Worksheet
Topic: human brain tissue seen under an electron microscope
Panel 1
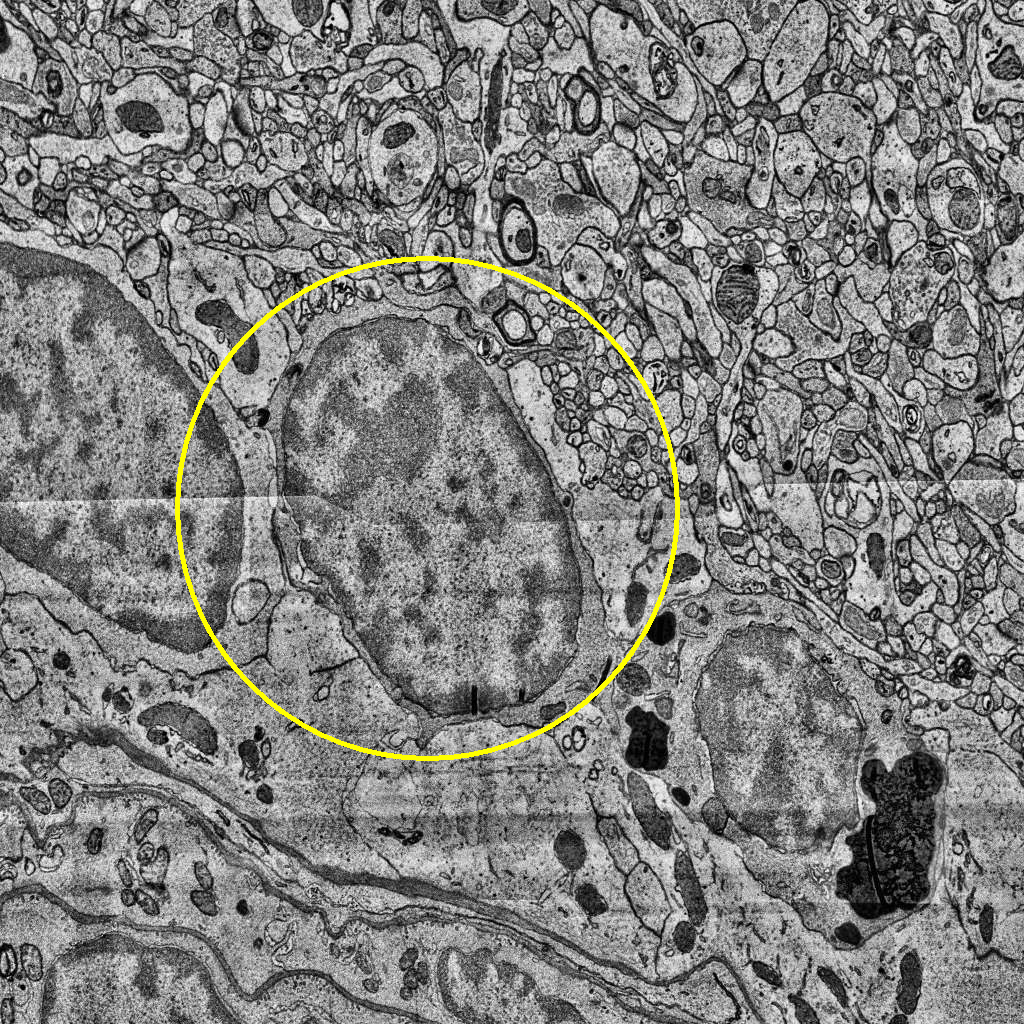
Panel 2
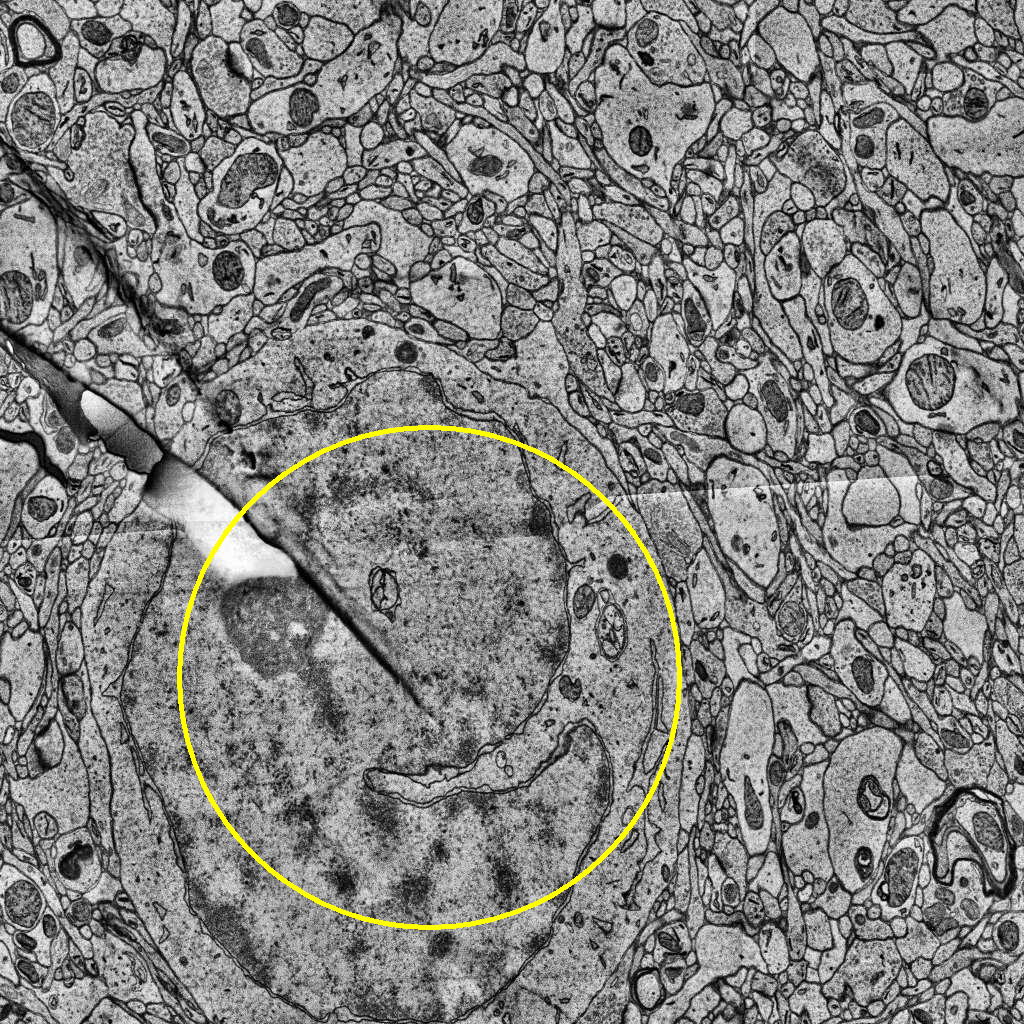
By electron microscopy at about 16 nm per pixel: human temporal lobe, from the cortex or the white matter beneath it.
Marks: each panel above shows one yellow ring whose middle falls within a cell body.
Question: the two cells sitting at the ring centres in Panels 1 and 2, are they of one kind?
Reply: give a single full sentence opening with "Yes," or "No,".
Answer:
No, the two cells at the ring centres in Panel 1 and Panel 2 are of two kinds.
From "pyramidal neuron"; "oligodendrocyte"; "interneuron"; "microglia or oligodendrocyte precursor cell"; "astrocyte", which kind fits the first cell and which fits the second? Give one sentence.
At the centre of the first ring sits an oligodendrocyte, and at the centre of the second sits an interneuron.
